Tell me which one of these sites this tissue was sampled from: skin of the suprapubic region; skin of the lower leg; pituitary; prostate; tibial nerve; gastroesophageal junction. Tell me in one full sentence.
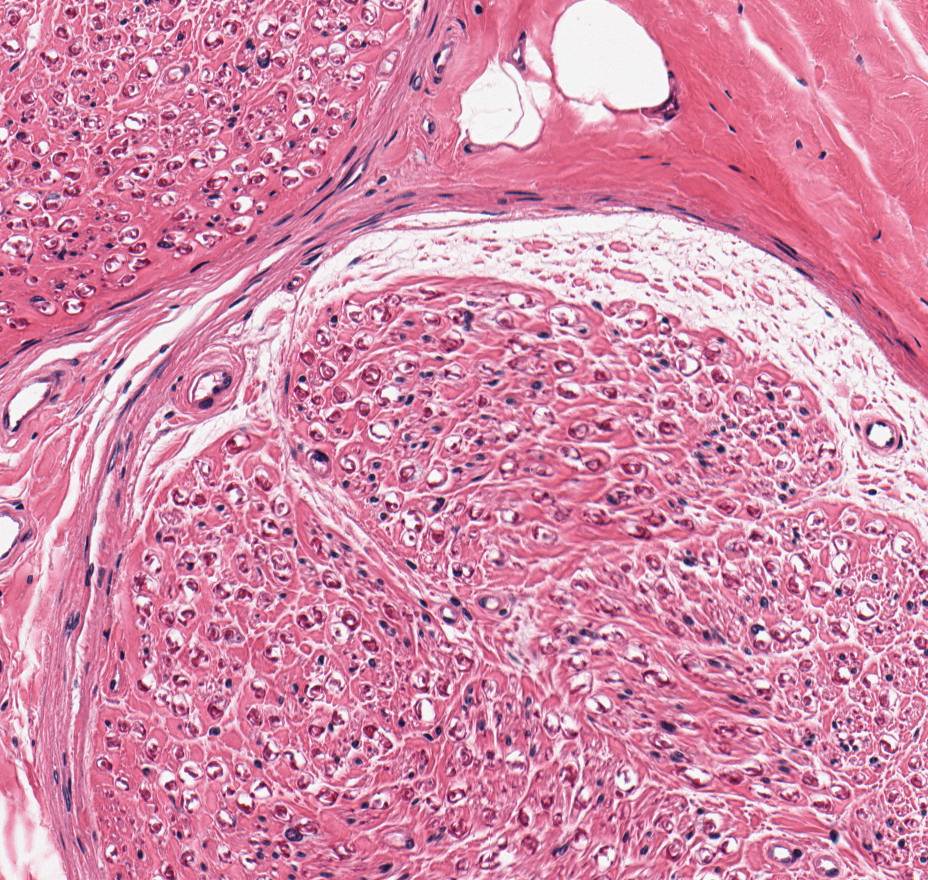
The sample of tissue came from the tibial nerve.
